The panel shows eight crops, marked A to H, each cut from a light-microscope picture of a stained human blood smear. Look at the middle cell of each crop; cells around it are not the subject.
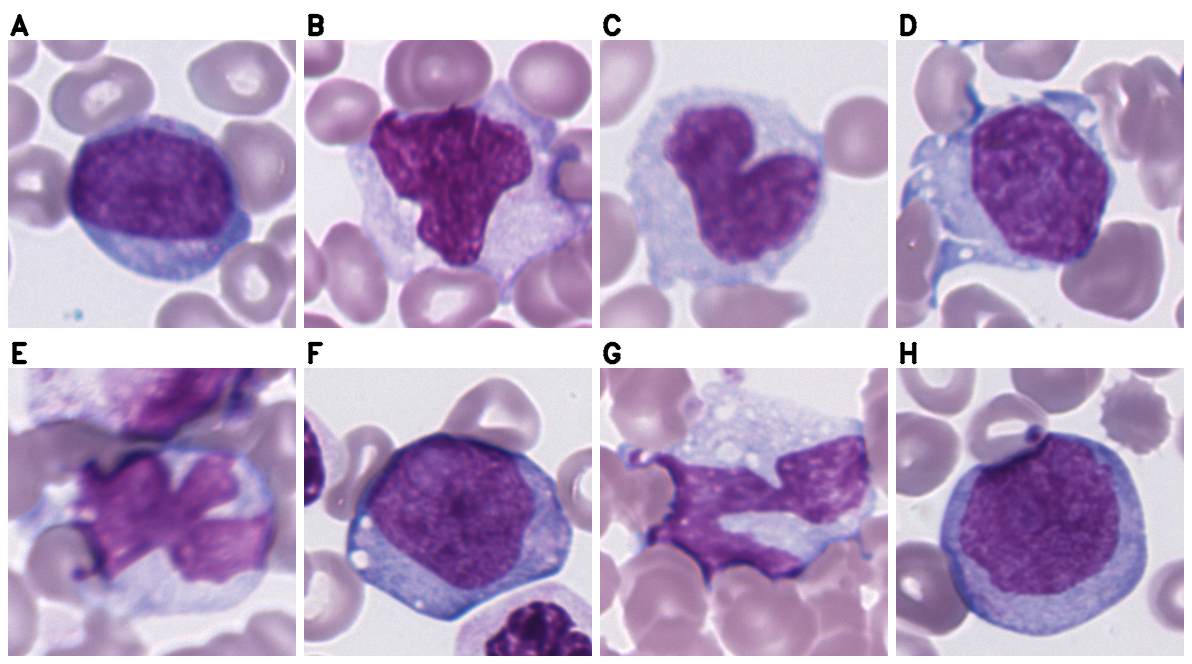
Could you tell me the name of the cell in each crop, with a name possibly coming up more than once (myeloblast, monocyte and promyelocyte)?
A: promyelocyte
B: monocyte
C: monocyte
D: myeloblast
E: monocyte
F: promyelocyte
G: monocyte
H: promyelocyte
